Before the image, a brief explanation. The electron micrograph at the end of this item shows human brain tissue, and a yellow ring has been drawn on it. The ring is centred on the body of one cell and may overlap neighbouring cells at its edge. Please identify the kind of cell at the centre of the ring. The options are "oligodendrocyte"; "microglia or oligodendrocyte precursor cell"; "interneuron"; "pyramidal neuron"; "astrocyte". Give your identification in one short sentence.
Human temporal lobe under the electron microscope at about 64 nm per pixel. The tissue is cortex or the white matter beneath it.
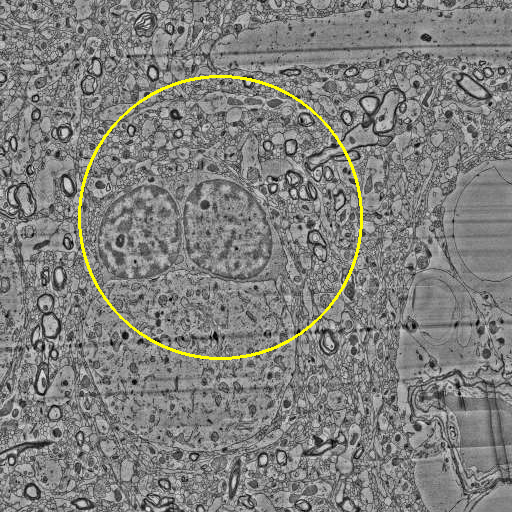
The ring has been placed around an oligodendrocyte.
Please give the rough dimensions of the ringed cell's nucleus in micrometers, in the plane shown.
The nucleus comes to roughly 7 by 5 micrometres in this plane.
